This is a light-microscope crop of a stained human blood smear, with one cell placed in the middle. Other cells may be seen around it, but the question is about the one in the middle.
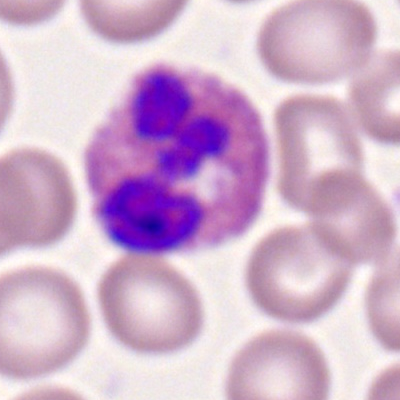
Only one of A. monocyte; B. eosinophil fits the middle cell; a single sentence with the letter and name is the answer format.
The correct choice is option B, which identifies the middle cell as an eosinophil.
